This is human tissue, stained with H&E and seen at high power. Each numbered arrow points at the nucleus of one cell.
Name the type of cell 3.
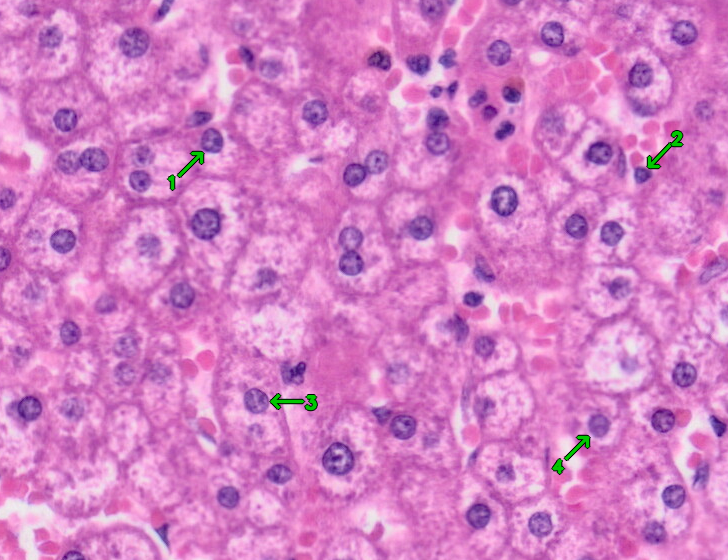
hepatocyte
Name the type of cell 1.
hepatocyte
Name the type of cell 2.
lymphocyte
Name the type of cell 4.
hepatocyte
